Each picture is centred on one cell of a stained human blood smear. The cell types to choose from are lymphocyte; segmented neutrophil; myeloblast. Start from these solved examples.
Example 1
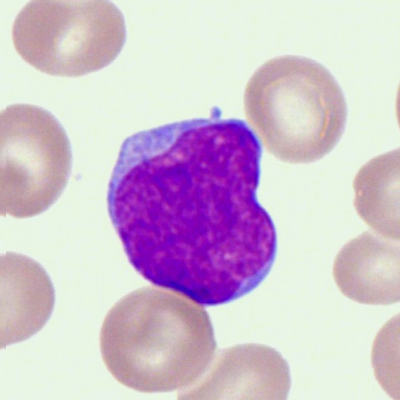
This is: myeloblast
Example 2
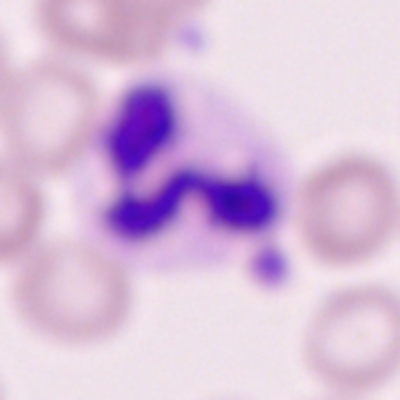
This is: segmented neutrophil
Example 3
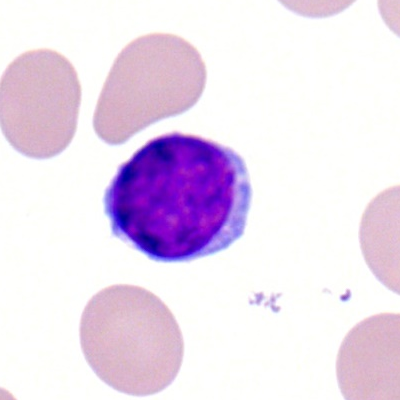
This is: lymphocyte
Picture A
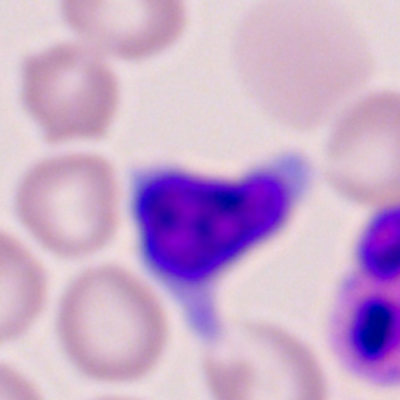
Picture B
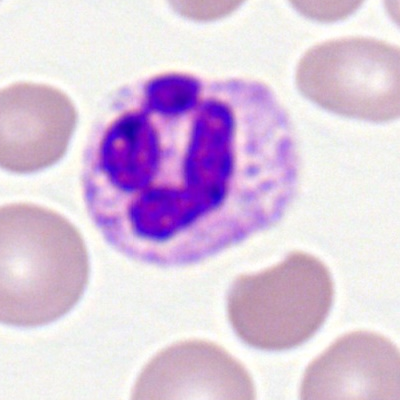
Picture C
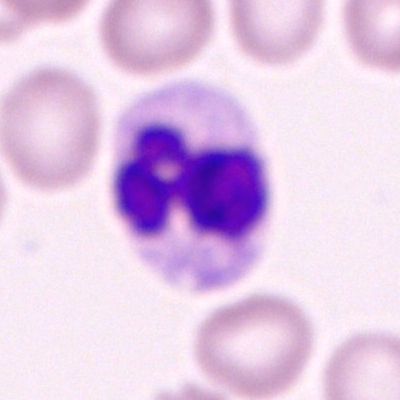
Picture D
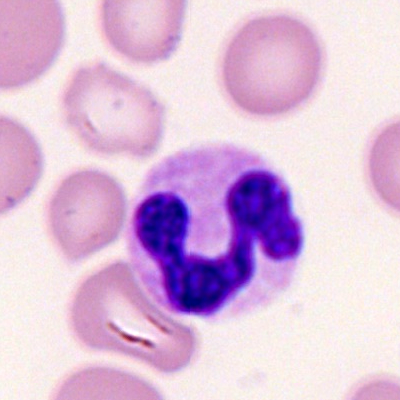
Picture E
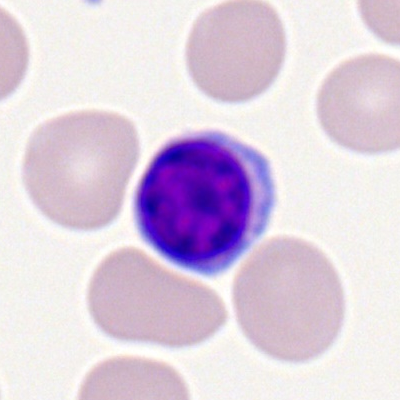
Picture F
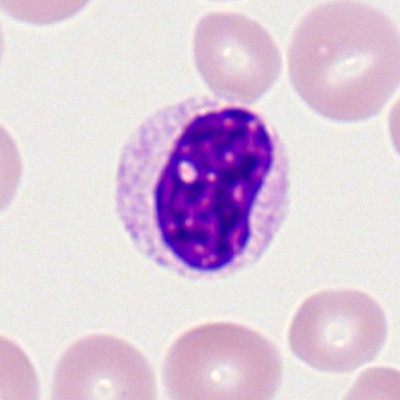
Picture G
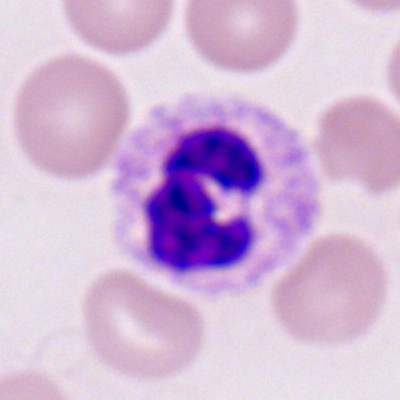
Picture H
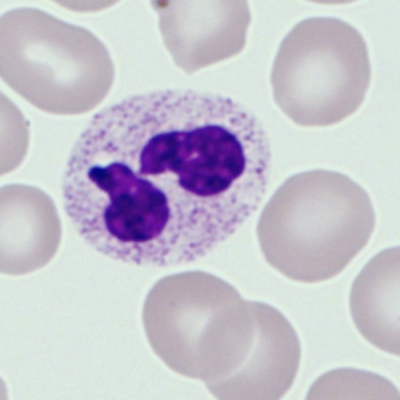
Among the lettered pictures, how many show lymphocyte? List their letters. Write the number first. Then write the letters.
2: A, E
